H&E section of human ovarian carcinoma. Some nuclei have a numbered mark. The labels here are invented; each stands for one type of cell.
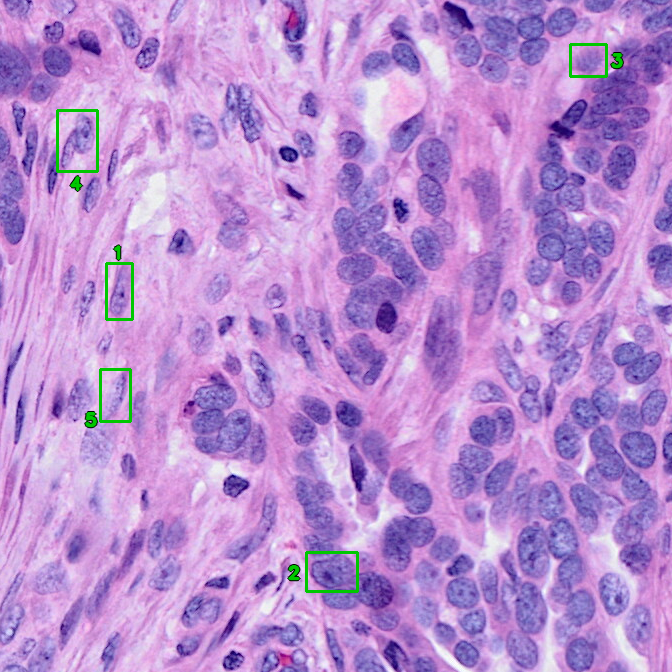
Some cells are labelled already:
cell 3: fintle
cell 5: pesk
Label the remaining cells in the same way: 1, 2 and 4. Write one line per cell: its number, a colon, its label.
1: pesk
2: fintle
4: pesk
